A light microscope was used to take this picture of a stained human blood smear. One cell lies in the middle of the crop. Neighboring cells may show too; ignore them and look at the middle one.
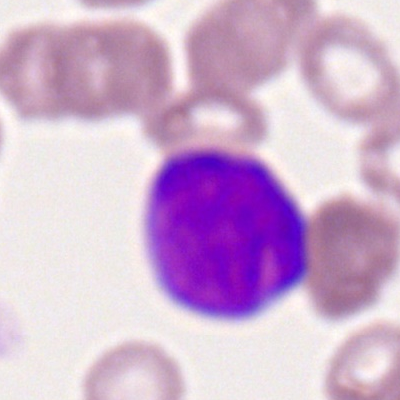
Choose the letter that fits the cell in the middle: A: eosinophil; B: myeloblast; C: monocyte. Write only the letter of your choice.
B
